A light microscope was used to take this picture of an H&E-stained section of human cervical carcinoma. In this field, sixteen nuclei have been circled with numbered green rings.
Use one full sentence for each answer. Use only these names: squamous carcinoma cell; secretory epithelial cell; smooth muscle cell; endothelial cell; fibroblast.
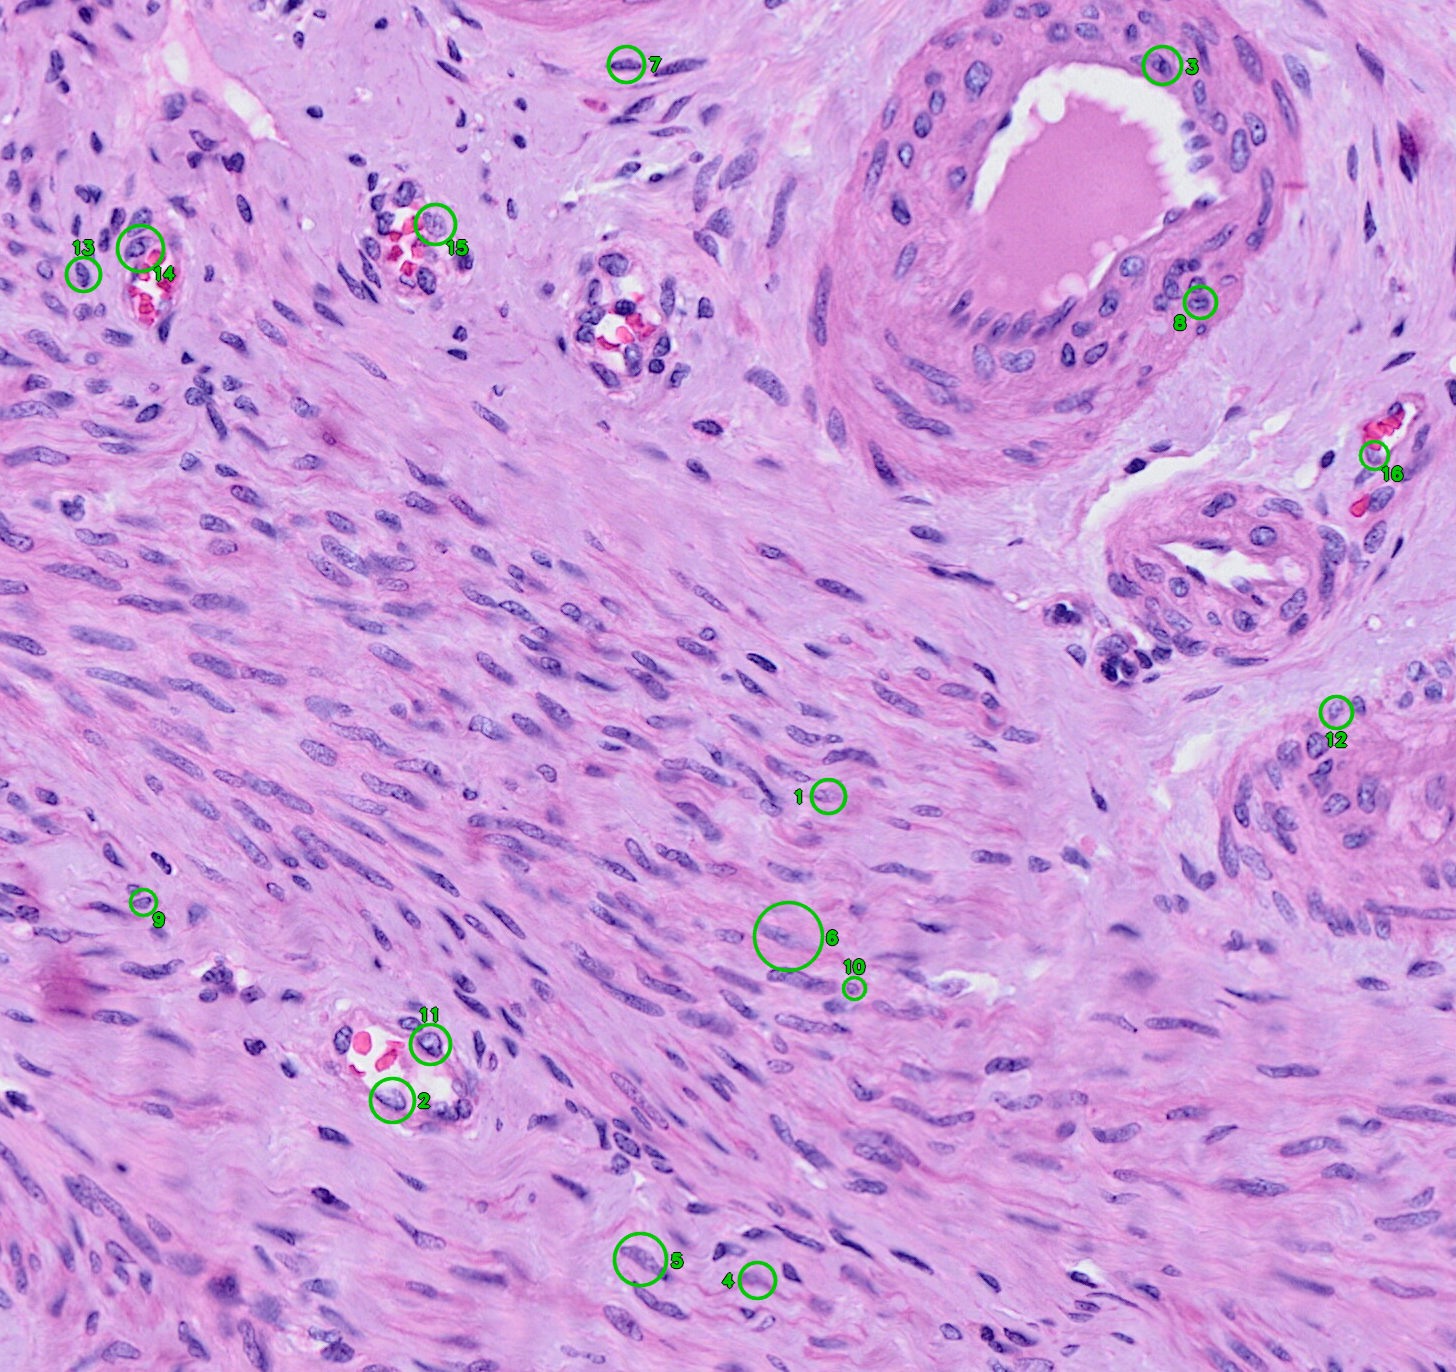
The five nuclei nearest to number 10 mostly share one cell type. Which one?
The majority of the five nuclei closest to number 10 belong to fibroblasts.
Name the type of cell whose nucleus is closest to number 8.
The cell nearest to number 8 is a smooth muscle cell.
